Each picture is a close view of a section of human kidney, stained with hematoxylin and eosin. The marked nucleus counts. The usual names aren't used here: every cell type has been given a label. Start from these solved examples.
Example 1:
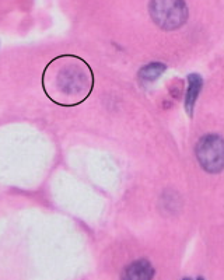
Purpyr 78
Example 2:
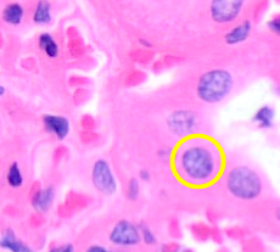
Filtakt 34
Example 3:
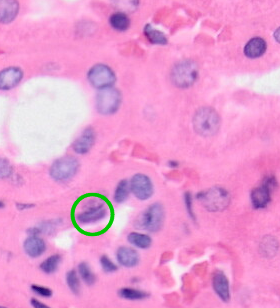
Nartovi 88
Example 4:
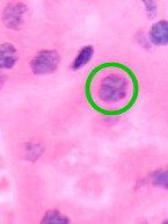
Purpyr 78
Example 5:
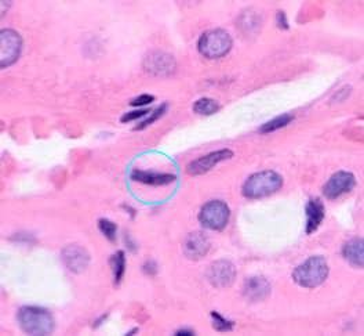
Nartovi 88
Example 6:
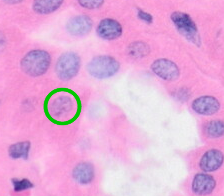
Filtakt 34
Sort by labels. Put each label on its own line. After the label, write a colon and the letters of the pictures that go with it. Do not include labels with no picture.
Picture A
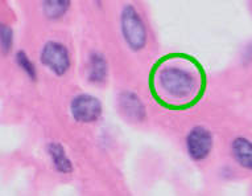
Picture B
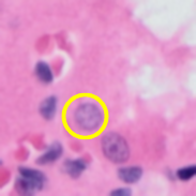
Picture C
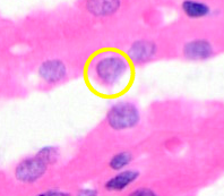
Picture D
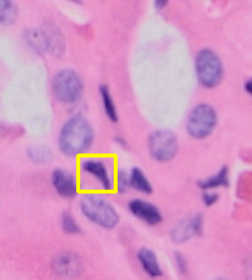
Purpyr 78: B
Filtakt 34: A, C
Nartovi 88: D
